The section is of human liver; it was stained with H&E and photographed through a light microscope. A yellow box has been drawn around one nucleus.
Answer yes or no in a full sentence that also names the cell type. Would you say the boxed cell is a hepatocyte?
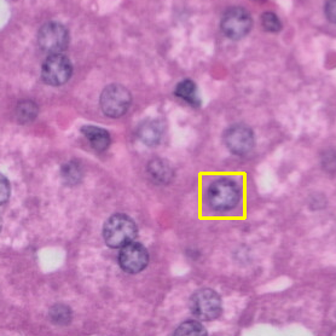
Yes, put very simply, the boxed cell is a hepatocyte.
